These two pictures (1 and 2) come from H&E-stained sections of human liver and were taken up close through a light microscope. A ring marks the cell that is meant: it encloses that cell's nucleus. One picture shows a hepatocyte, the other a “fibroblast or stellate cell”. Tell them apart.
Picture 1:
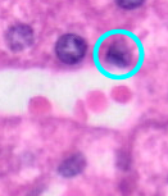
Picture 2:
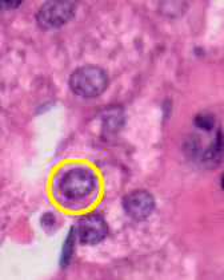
1: fibroblast or stellate cell
2: hepatocyte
